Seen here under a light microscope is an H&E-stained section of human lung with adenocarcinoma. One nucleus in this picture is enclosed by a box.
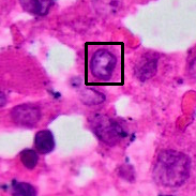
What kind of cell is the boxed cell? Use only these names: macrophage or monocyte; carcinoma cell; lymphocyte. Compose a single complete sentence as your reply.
Placed in its cell category, the boxed cell is a macrophage or monocyte.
